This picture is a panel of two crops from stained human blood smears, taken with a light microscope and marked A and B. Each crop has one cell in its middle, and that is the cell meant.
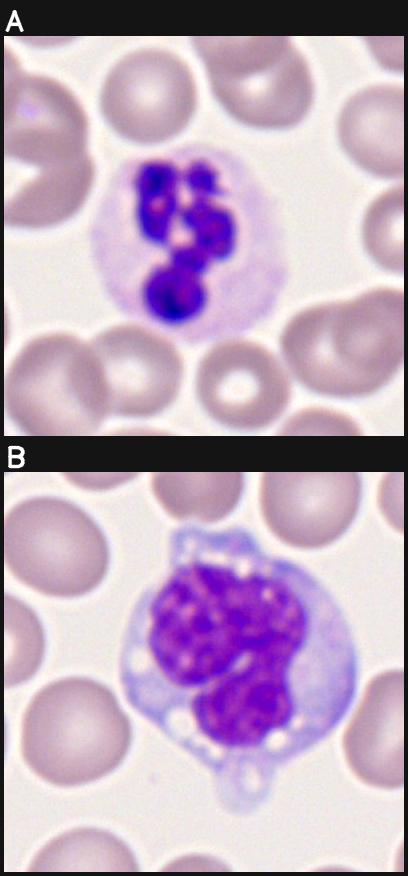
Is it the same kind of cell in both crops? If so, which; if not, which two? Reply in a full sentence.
No, as for crop A, it shows a segmented neutrophil, and crop B shows a monocyte.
